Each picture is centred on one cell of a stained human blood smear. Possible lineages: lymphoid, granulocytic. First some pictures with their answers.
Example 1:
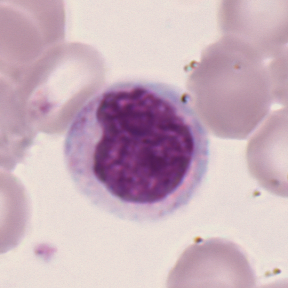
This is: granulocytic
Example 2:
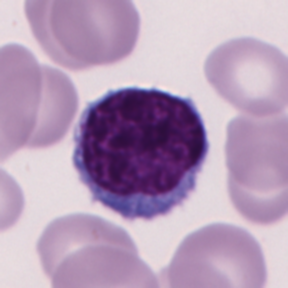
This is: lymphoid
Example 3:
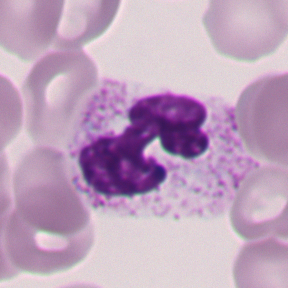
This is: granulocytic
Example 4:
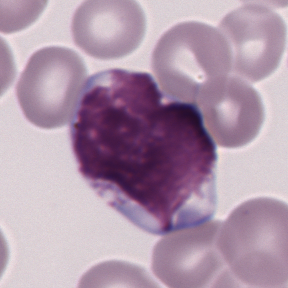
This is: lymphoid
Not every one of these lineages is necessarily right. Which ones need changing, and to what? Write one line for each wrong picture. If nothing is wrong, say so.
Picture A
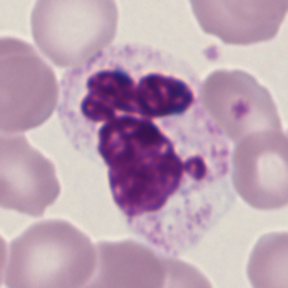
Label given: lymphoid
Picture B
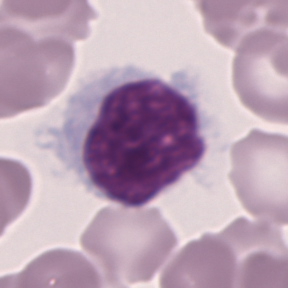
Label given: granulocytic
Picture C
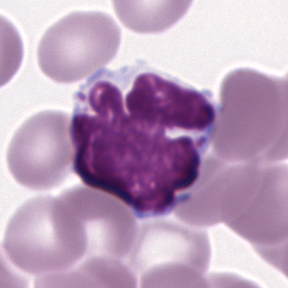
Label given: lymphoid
A: not lymphoid but granulocytic
B: not granulocytic but lymphoid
